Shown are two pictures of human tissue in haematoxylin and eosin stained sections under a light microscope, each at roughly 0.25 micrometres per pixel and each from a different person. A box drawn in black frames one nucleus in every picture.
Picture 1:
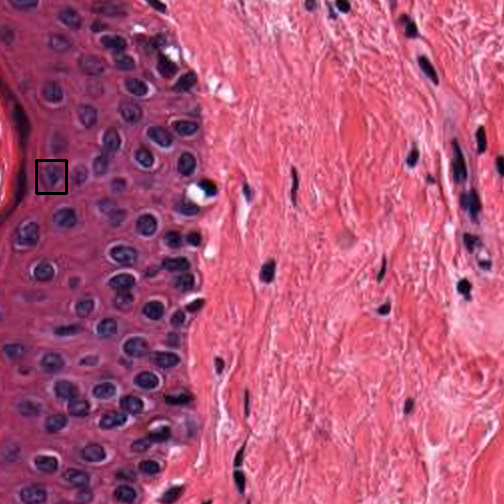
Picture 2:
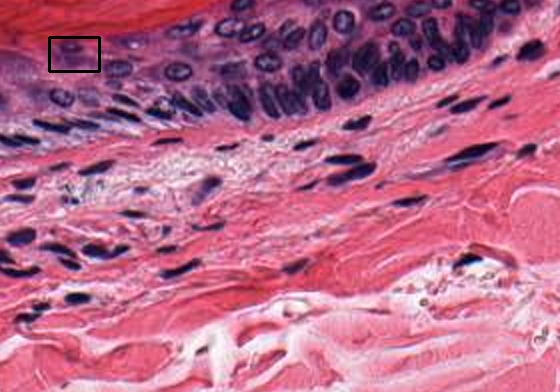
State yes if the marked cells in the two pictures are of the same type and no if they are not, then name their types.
Yes, both are keratinocytes.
